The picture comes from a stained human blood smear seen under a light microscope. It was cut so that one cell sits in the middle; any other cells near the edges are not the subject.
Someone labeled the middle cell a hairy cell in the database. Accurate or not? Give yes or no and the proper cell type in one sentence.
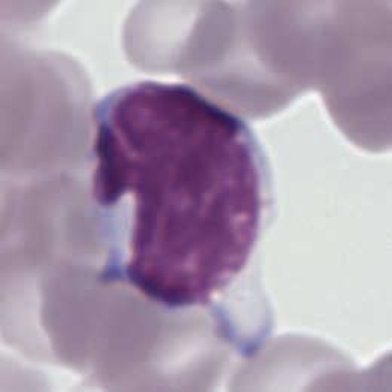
No, the cell in the middle is recognised as a large granular lymphocyte rather than a hairy cell.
